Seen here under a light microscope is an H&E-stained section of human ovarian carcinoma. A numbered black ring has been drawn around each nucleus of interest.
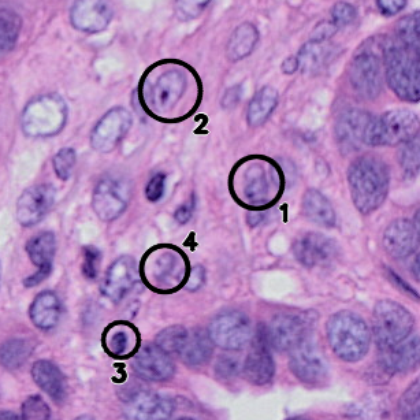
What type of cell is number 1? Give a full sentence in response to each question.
The numbered cell 1 is identified here as a fibroblast.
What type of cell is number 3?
Numbered cell 3 is a lymphocyte in this tissue section.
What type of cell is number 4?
The cell to which the number 4 is assigned is a fibroblast.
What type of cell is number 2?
The label 2 in this section denotes a fibroblast.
